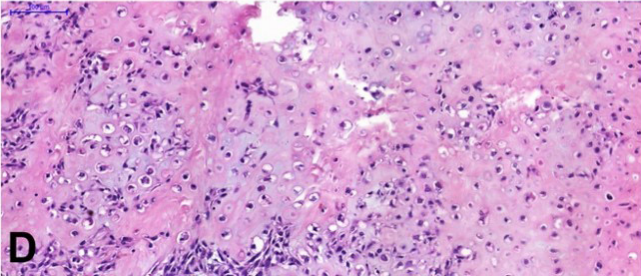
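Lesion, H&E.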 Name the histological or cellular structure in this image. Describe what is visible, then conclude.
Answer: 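Chondroid and osteoid matrix. Pale bluish-pink matrix holds cells sitting in rounded spaces. Denser pink matrix lies mixed in among it. Both kinds of matrix blend into each other across the field.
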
